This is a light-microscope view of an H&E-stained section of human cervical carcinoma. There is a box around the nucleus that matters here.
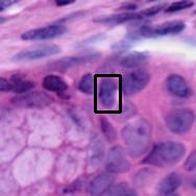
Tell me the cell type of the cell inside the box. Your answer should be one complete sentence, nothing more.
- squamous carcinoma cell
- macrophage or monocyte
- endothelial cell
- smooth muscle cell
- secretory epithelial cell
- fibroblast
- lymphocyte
For cell typing purposes, the cell inside the box is a secretory epithelial cell.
